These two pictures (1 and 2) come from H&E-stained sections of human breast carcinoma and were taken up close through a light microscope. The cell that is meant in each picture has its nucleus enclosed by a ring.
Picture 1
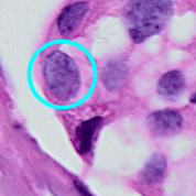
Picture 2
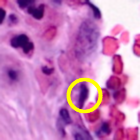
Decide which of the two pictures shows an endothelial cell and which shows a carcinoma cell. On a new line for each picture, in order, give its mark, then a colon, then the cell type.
1: carcinoma cell
2: endothelial cell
